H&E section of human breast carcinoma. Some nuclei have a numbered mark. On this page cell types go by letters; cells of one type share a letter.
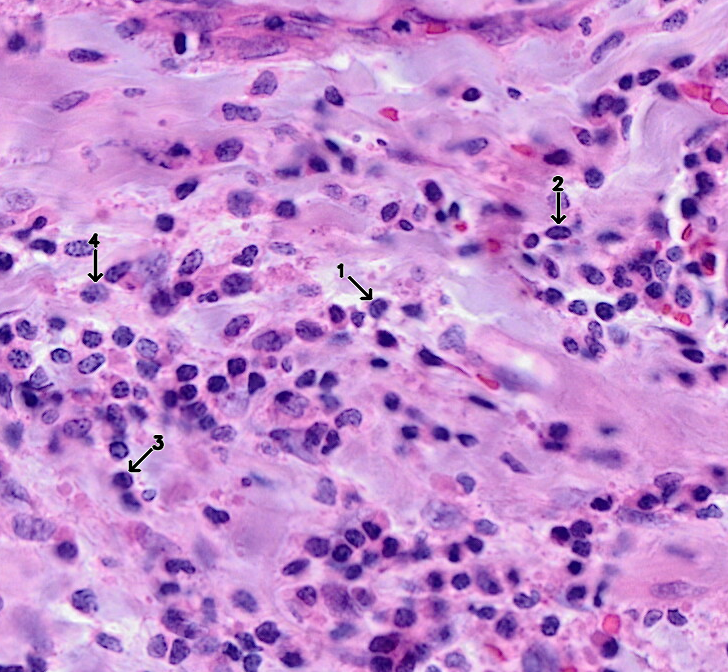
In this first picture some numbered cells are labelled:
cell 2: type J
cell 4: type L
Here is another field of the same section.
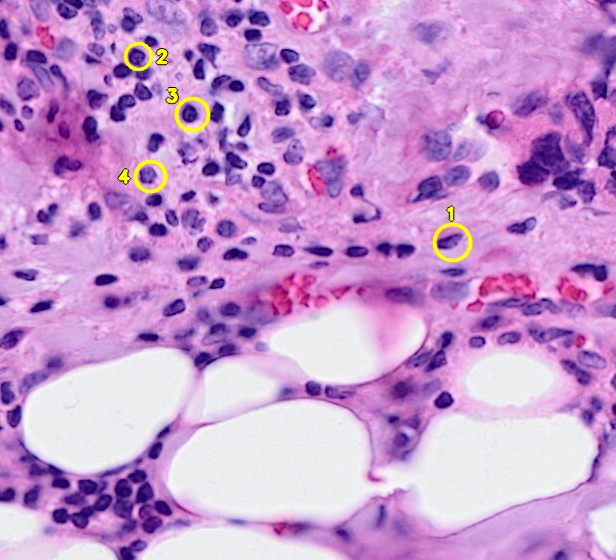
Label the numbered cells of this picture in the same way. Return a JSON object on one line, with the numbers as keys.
{"1": "type L", "2": "type J", "3": "type J", "4": "type J"}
